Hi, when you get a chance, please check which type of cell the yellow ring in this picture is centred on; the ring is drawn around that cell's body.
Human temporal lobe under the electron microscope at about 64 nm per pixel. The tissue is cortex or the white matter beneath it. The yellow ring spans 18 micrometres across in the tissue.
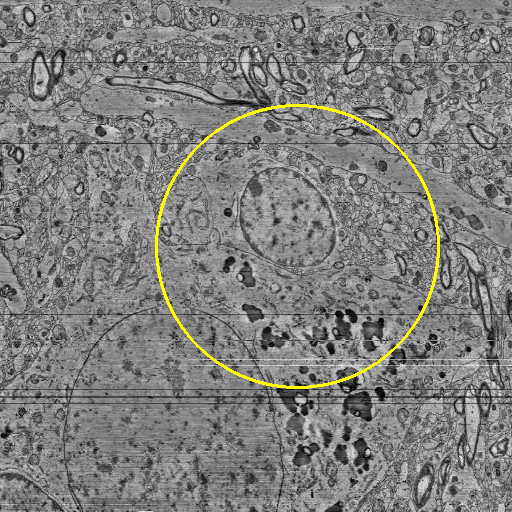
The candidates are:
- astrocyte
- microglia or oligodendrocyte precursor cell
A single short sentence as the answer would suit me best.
The ring is drawn around the body of a microglial cell or oligodendrocyte precursor cell.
